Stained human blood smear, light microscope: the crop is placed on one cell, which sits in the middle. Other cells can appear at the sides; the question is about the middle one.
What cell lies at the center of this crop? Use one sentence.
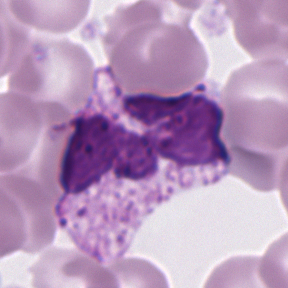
The cell occupying the middle of the crop is a basophil.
